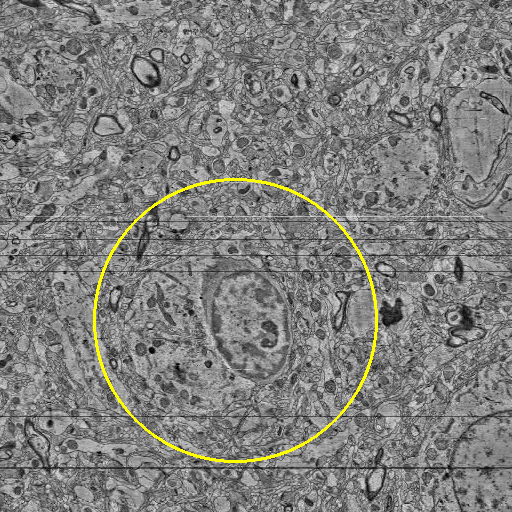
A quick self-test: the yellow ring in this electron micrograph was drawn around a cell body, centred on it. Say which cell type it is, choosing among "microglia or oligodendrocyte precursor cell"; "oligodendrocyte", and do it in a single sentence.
The yellow-ringed cell is an oligodendrocyte.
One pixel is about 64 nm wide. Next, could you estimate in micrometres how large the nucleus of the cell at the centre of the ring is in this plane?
The nucleus is approximately 7 micrometres long but only about 5 wide, clearly longer than it is wide in this plane.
